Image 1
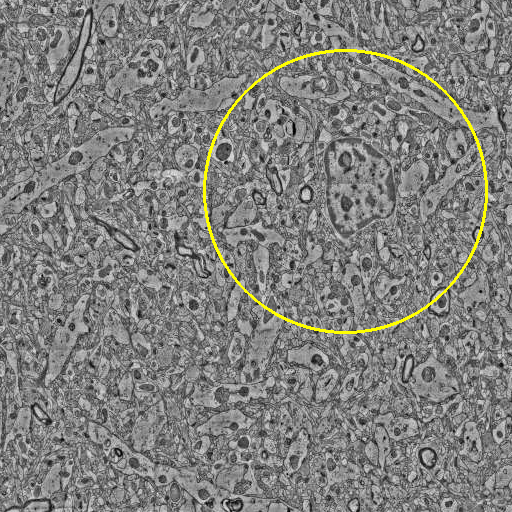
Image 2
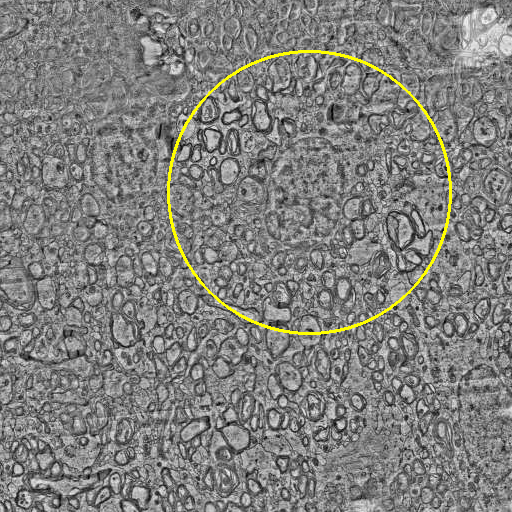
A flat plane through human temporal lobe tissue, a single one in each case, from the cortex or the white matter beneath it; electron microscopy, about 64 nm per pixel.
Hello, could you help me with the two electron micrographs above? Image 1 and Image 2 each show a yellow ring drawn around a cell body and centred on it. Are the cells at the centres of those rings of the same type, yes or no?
no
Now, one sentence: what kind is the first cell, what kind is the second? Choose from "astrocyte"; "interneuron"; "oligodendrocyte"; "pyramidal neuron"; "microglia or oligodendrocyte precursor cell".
The first picture has a microglial cell or oligodendrocyte precursor cell at its ring centre, and the second has an oligodendrocyte.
